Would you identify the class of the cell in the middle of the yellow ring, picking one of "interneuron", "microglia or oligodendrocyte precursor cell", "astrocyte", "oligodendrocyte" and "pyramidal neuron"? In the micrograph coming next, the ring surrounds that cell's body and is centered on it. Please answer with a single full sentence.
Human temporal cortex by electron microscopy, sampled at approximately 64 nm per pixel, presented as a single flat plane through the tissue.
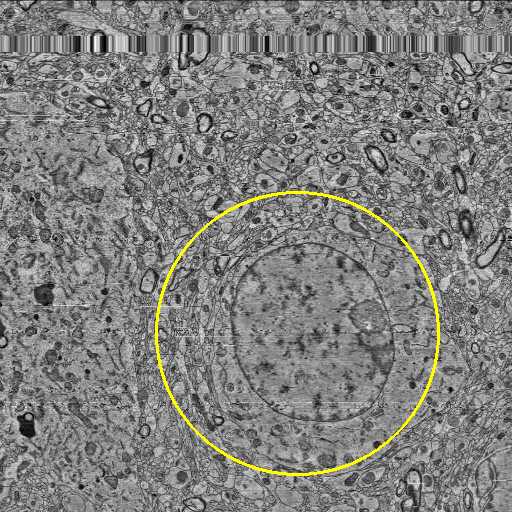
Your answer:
In the micrograph, it is a pyramidal neuron whose body lies at the ring's center.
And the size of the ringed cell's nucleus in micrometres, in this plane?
In this plane, approximately 12 by 10 micrometers.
